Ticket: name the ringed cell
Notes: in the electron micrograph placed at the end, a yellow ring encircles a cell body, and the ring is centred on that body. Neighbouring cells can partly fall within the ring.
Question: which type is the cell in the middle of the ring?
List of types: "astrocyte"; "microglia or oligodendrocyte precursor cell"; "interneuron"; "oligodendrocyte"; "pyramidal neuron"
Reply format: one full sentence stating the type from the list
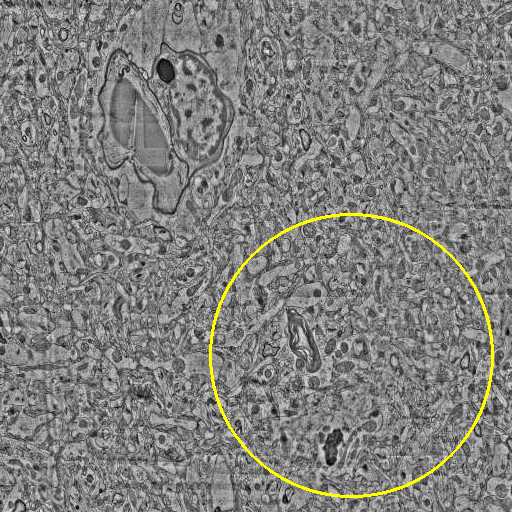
The cell sitting at the centre of the yellow ring is an astrocyte.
